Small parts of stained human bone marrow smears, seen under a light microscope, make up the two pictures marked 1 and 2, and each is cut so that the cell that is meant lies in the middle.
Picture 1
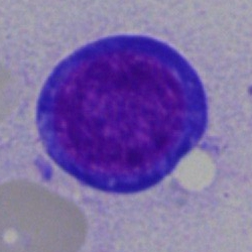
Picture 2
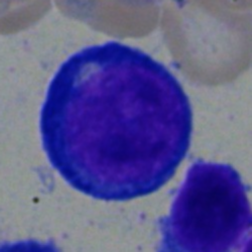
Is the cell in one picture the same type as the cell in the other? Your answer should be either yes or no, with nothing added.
yes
